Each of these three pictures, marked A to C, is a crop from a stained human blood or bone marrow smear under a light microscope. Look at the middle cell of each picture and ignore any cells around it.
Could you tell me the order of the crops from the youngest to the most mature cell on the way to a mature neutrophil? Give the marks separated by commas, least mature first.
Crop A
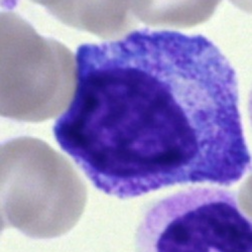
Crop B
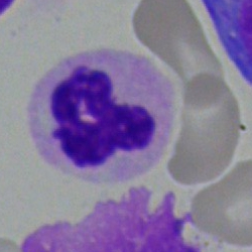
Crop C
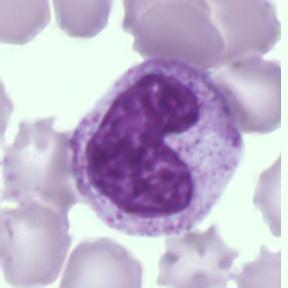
A, C, B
